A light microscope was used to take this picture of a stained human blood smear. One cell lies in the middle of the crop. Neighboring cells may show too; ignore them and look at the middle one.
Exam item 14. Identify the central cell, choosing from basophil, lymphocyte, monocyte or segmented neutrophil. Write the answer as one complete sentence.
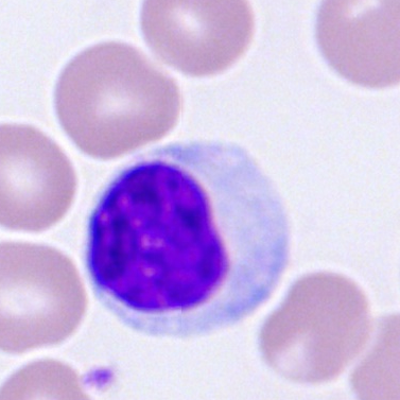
The cell around which this crop is centred is a lymphocyte.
